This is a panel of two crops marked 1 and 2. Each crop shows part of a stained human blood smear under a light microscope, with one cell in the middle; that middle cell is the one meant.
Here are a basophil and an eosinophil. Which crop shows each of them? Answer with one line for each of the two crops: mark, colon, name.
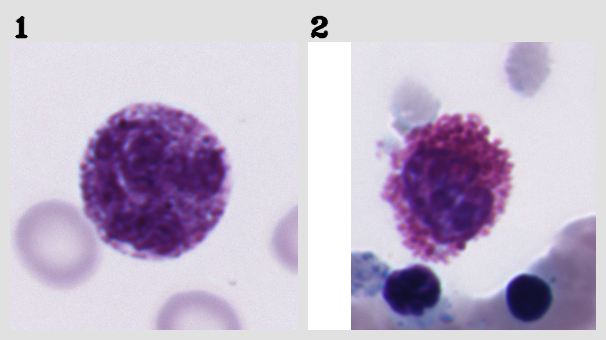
1: basophil
2: eosinophil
